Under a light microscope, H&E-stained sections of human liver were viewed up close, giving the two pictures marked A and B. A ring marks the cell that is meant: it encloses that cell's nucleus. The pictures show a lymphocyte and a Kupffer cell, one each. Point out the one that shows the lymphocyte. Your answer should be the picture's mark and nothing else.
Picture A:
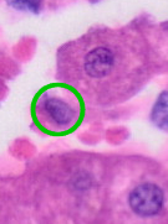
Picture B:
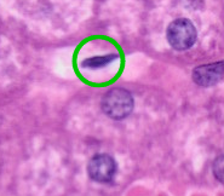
B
